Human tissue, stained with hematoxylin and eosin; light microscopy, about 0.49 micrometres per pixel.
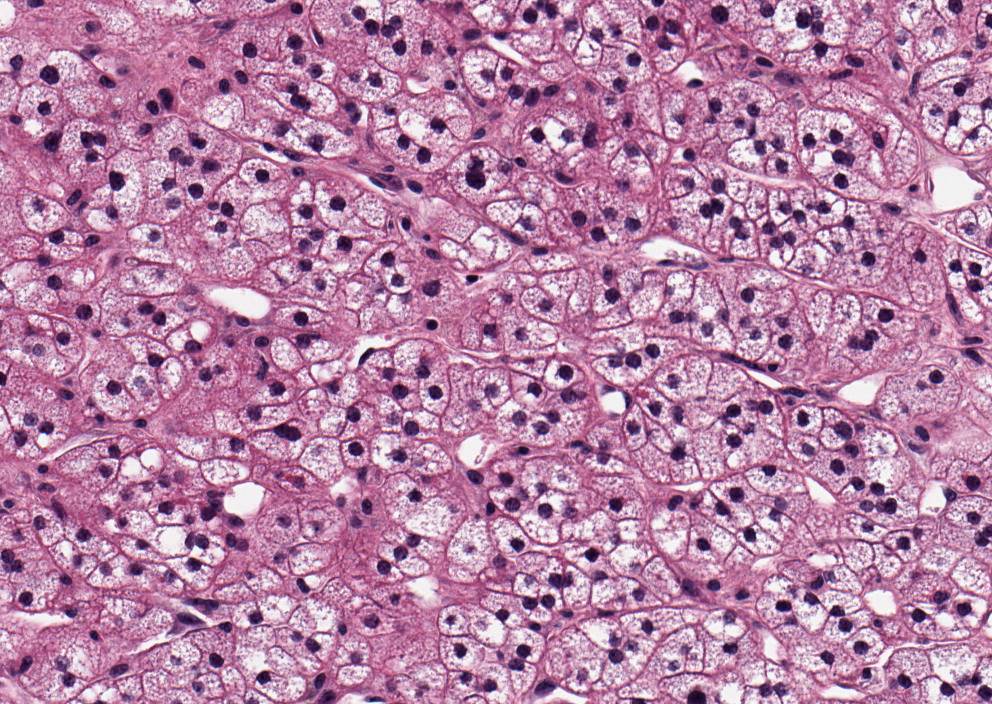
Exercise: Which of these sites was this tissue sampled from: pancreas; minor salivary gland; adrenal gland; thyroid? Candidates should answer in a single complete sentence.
It was the adrenal gland that provided this tissue sample.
